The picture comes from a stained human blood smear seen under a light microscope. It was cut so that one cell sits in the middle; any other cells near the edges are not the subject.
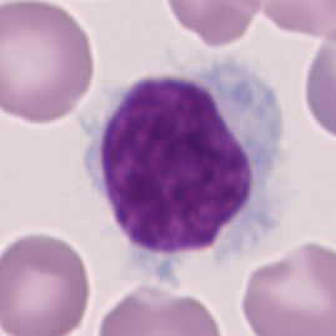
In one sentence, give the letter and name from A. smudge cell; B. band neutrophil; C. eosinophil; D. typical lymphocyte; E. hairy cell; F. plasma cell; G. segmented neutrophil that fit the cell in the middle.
The centered cell is a hairy cell, which is why option E is right.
